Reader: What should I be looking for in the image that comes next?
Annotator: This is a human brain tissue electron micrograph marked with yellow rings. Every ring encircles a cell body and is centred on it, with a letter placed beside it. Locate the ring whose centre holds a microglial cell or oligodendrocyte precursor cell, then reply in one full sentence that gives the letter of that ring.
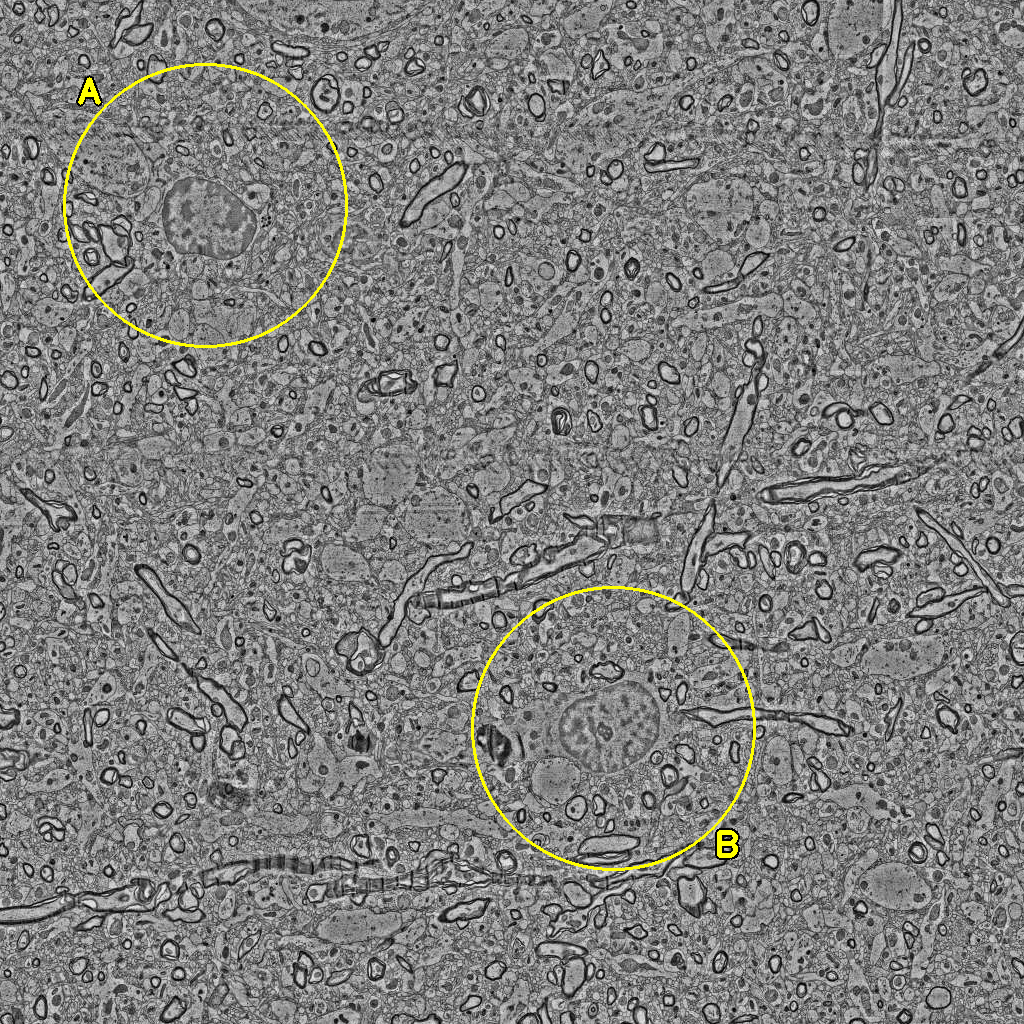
The ring centred on the cell asked for is the one labelled A.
